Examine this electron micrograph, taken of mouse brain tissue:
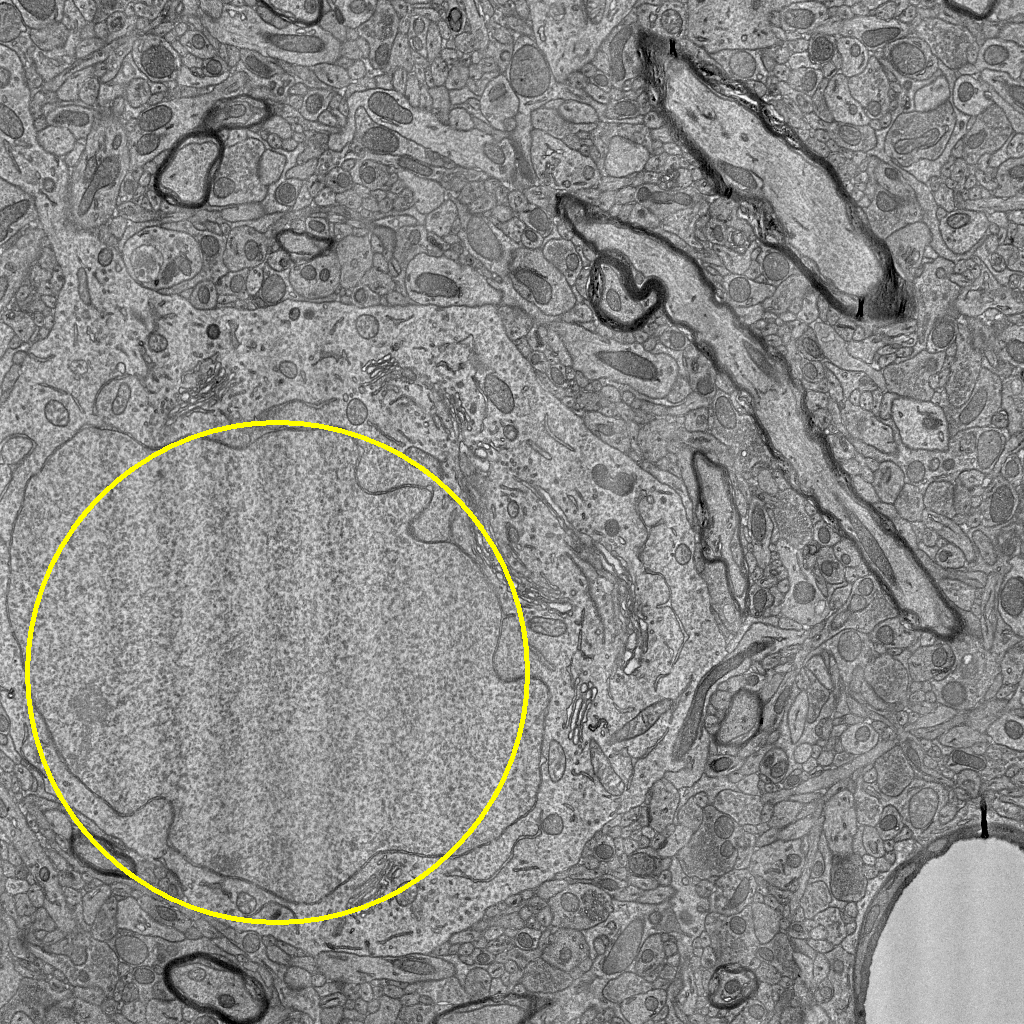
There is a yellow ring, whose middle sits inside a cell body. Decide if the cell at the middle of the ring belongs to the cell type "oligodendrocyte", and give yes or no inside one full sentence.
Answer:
No, the cell at the centre of the yellow ring in this picture is of a different type.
